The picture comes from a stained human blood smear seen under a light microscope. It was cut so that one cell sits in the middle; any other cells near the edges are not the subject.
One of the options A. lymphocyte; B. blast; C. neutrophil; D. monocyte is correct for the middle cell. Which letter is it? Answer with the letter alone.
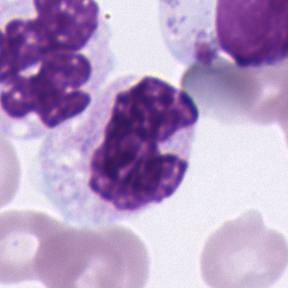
C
